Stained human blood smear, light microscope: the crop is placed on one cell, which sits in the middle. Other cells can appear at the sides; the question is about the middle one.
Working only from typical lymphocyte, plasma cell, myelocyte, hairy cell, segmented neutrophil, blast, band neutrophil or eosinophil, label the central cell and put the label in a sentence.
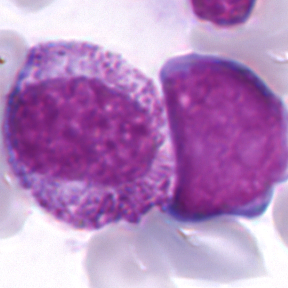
The centrally positioned cell in the crop represents a myelocyte.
